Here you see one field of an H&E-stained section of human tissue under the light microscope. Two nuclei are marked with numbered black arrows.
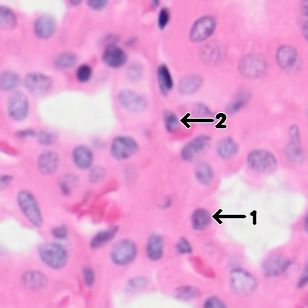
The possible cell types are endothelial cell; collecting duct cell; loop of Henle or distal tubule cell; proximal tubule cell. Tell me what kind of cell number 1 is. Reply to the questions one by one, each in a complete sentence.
Regarding cell 1, this one is a loop of Henle or distal tubule cell.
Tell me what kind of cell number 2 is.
The cell referenced by the number 2 is an endothelial cell in this field.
